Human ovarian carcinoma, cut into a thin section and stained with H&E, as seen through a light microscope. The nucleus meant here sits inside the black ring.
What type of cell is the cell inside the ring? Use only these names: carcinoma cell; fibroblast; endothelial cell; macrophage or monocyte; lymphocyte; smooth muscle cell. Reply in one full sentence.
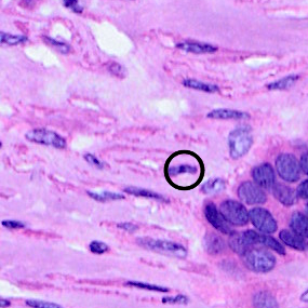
Right, so the cell inside the ring is a fibroblast, to answer that.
